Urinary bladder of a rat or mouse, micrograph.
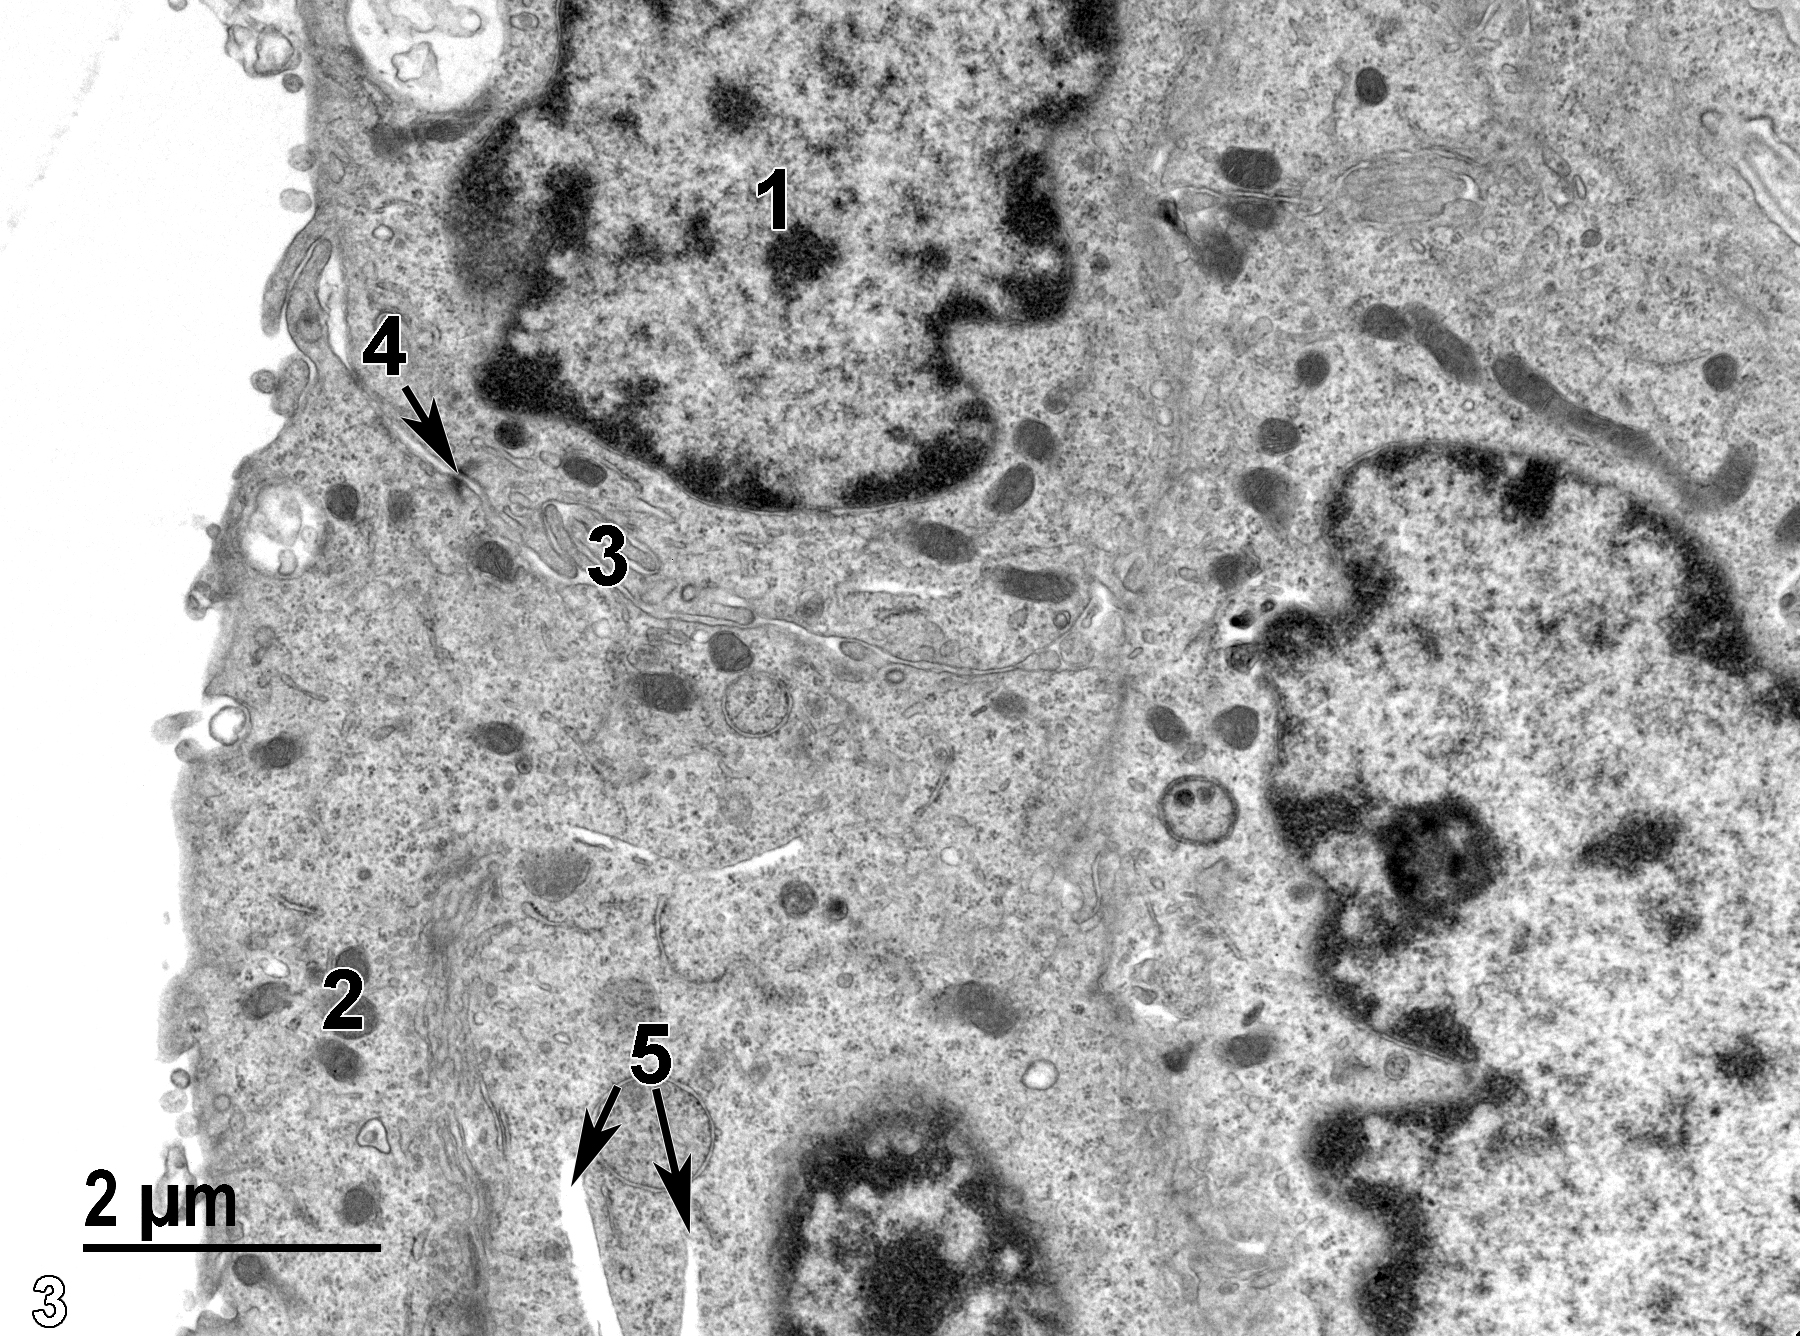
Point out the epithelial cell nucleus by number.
1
